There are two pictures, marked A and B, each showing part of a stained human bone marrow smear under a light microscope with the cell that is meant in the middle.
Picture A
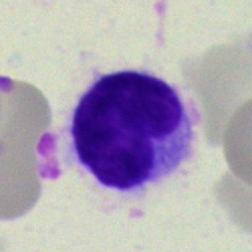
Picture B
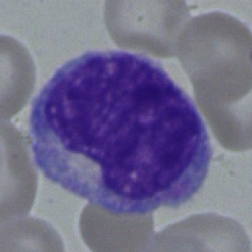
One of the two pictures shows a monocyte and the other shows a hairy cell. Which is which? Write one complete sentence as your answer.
Picture B shows a monocyte, while picture A shows a hairy cell.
